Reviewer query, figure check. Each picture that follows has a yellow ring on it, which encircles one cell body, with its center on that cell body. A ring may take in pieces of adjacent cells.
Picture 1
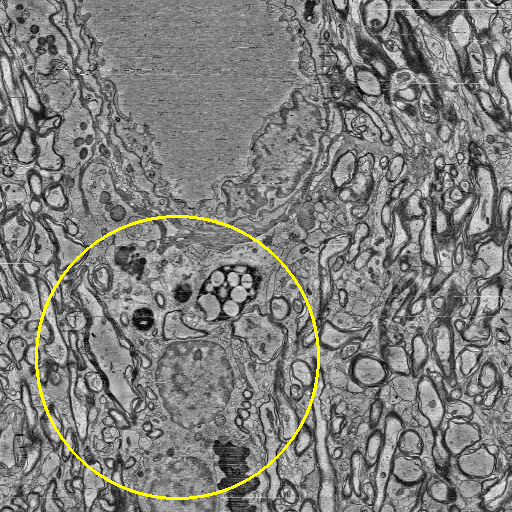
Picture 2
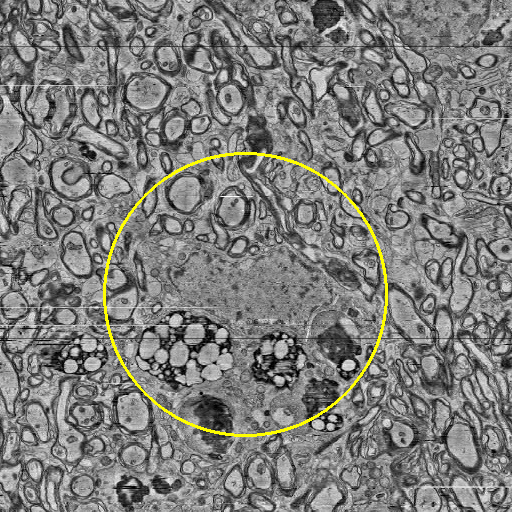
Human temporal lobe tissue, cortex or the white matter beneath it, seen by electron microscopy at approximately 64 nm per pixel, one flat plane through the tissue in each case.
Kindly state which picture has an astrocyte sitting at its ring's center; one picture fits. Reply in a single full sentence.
In picture 2, the cell at the center of the ring is the requested one.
